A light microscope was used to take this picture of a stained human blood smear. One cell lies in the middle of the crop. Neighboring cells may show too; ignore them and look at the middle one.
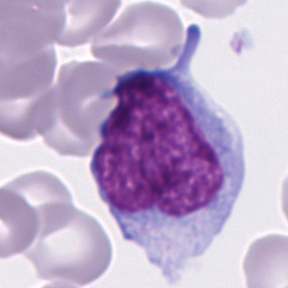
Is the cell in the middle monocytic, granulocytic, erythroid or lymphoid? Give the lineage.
monocytic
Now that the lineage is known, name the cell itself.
monocyte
